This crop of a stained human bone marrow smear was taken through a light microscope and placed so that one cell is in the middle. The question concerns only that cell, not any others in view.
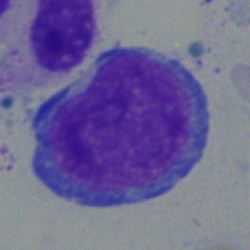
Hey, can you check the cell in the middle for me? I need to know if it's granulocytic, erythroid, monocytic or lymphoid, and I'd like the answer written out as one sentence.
Among the lineages, the erythroid one is that of the central cell.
